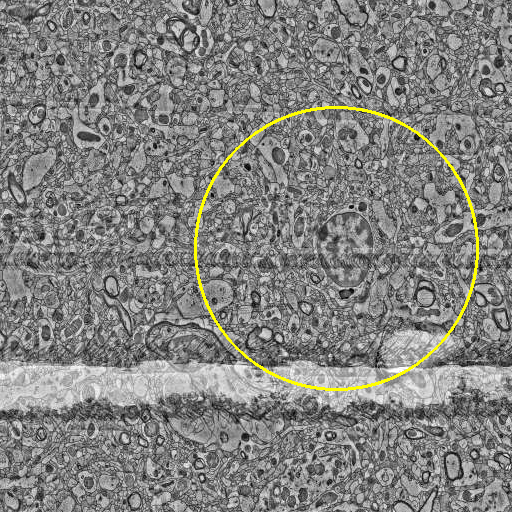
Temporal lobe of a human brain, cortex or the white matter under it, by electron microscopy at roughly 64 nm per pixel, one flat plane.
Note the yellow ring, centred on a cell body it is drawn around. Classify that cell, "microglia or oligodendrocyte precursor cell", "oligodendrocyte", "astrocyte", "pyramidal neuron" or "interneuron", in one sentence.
The cell the ring is centred on is a microglial cell or oligodendrocyte precursor cell.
